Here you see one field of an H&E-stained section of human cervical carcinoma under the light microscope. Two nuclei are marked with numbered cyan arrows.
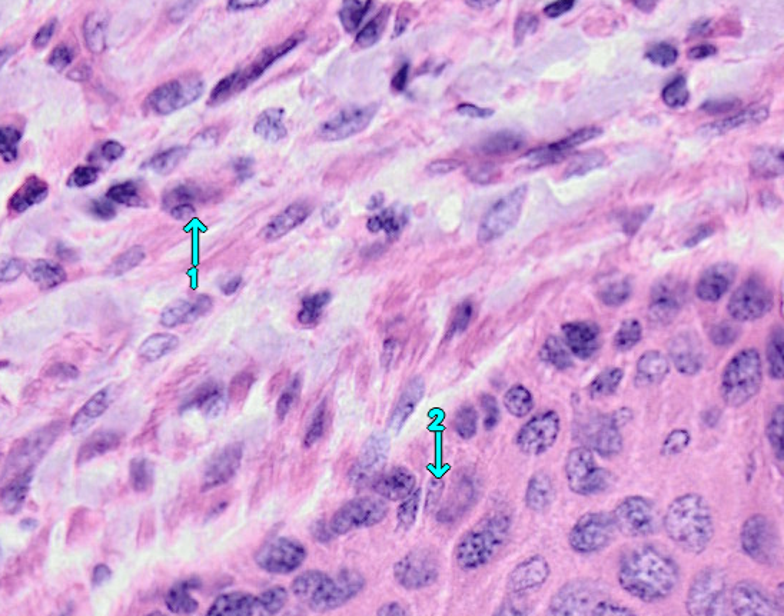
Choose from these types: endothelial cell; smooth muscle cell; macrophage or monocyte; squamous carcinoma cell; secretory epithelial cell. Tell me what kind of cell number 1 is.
macrophage or monocyte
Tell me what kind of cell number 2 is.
squamous carcinoma cell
